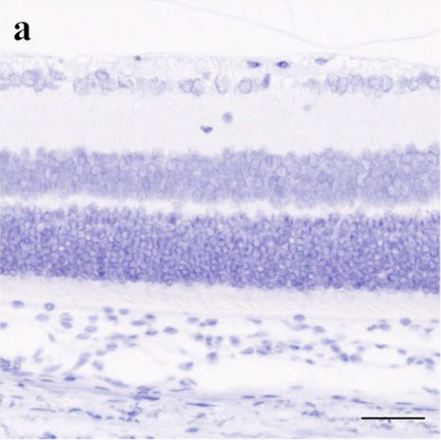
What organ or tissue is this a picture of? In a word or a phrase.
Retinas.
